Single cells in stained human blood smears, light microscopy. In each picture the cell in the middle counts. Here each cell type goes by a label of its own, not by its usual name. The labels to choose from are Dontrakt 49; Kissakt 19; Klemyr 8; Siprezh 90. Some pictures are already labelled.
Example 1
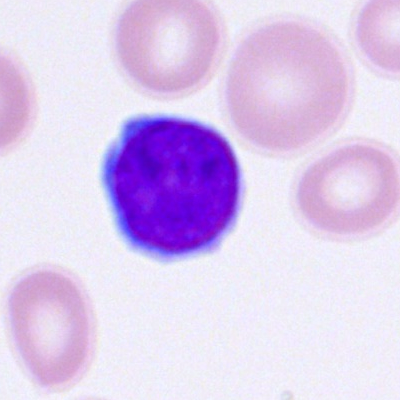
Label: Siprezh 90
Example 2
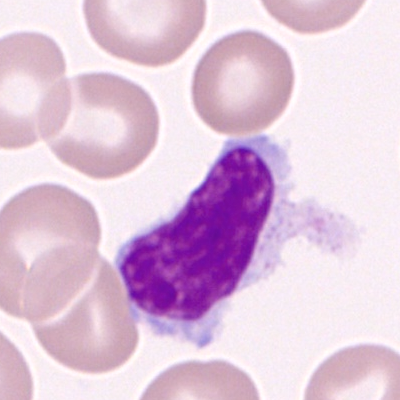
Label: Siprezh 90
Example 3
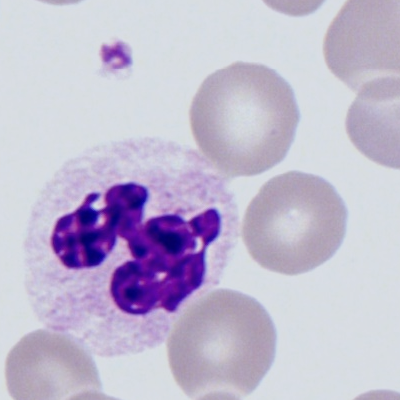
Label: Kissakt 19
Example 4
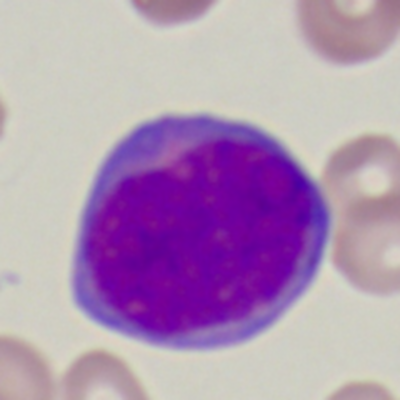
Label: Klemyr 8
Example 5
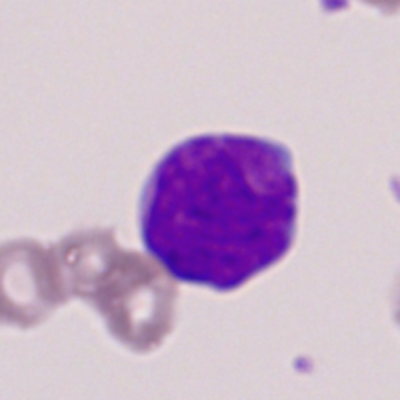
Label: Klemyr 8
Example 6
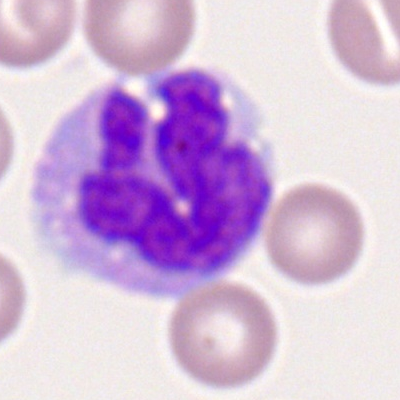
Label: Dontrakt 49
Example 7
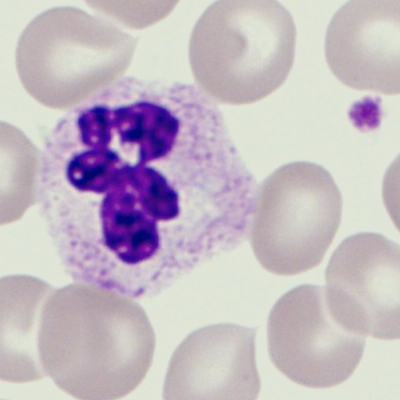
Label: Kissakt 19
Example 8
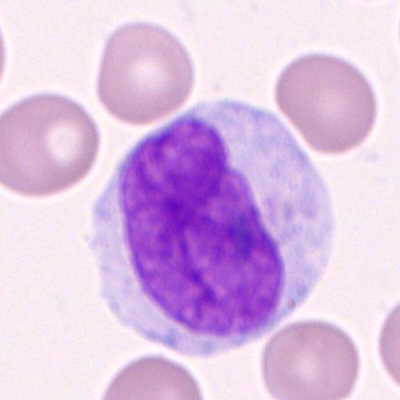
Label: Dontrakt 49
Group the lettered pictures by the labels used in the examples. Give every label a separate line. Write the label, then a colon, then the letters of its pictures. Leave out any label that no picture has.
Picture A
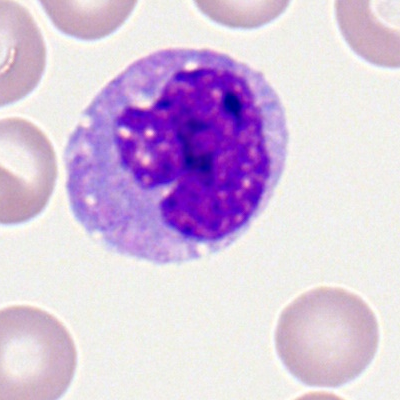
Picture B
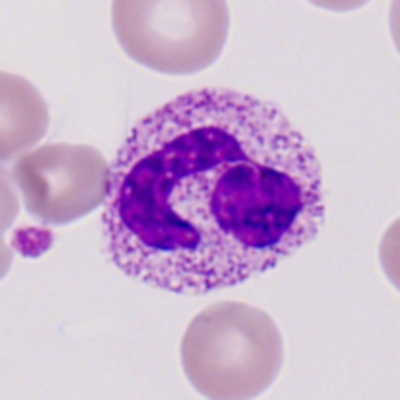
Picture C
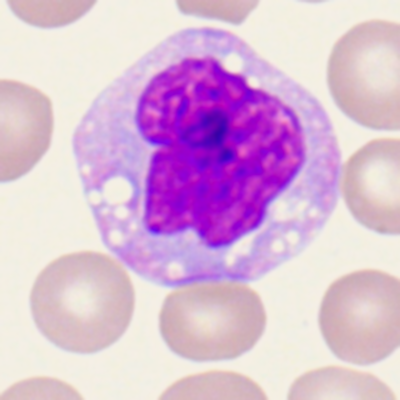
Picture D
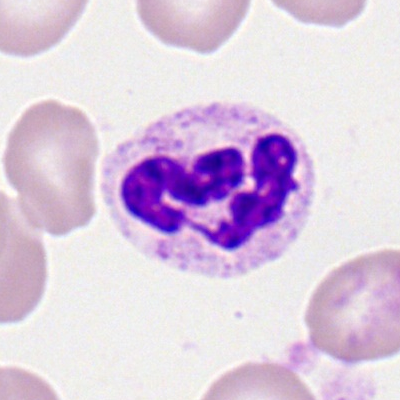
Dontrakt 49: A, C
Kissakt 19: B, D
